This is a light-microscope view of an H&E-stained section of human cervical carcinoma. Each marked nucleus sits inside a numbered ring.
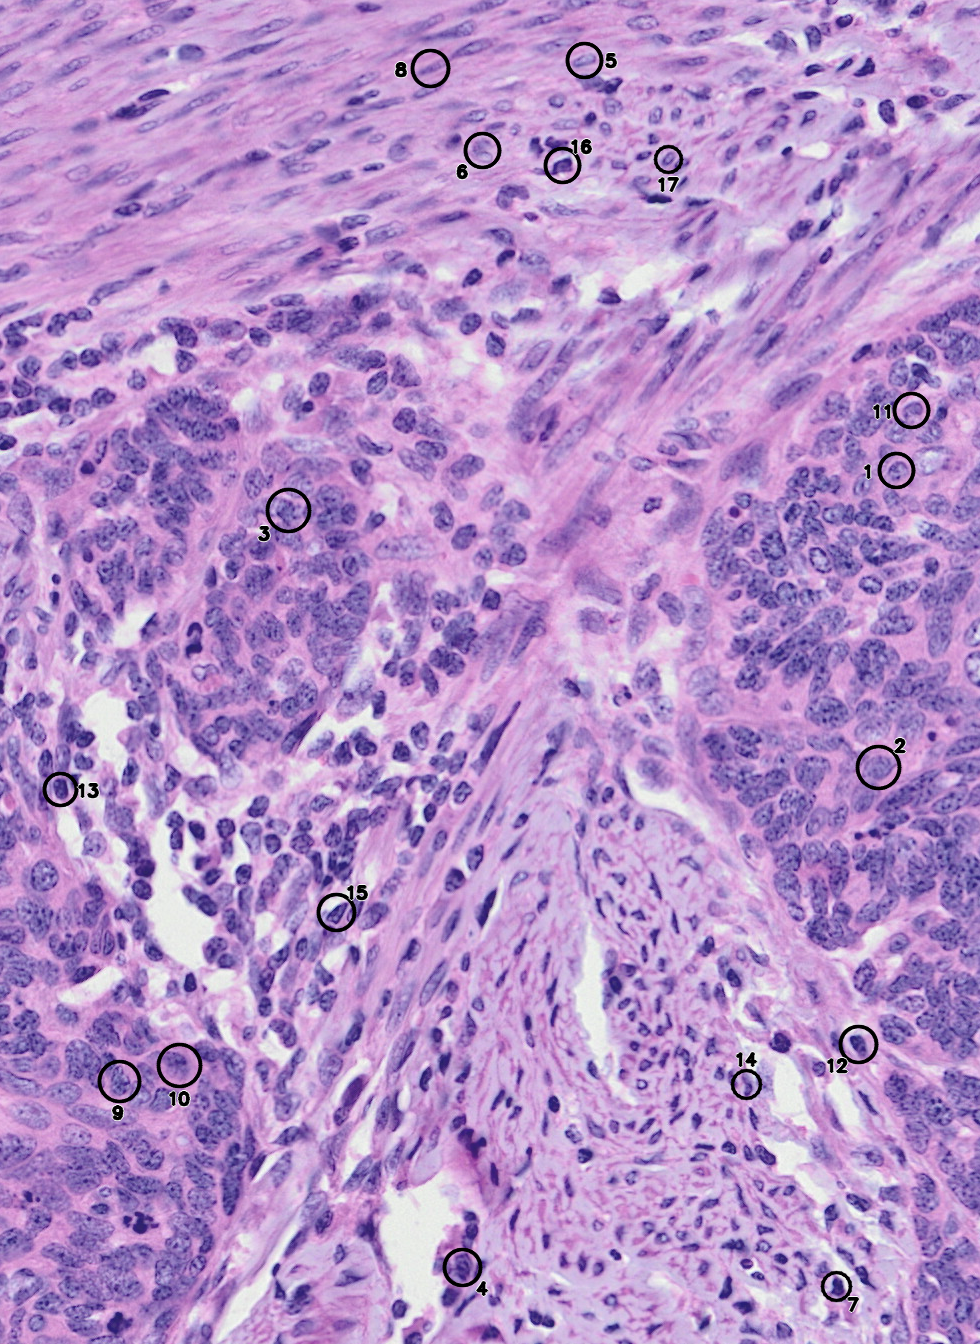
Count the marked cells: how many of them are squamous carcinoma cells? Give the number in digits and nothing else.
6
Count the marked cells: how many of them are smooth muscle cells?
4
